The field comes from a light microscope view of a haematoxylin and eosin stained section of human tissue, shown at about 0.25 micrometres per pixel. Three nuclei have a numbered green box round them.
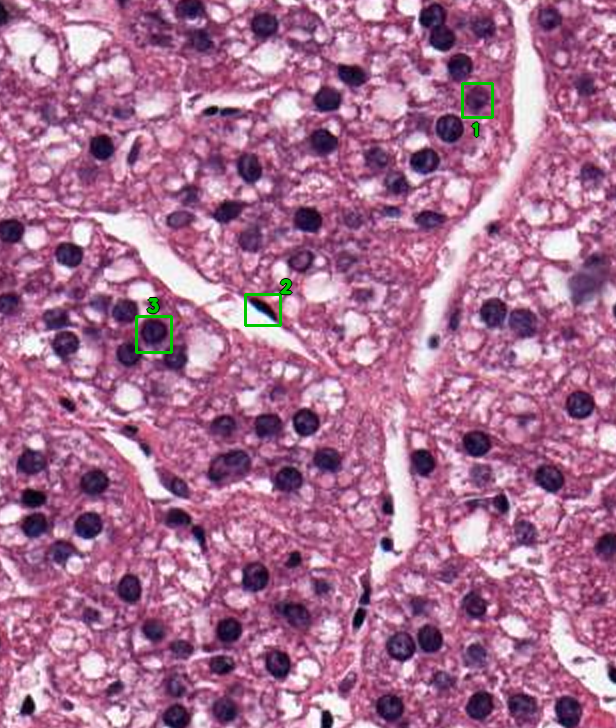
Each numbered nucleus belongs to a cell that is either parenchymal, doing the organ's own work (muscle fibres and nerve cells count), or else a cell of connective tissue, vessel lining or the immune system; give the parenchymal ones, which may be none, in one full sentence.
What the nuclei numbered 1 and 3 belong to are parenchymal cells.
